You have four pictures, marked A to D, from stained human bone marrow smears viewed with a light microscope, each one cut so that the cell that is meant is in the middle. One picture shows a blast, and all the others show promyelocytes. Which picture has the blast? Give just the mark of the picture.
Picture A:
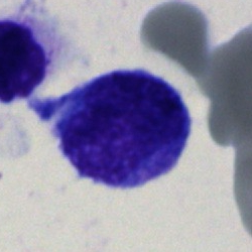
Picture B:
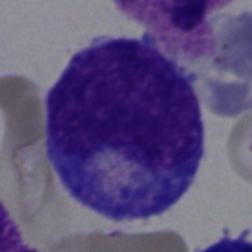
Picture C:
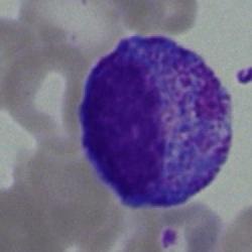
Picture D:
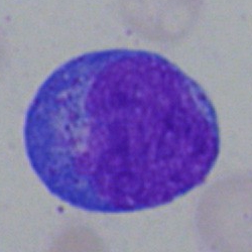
A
